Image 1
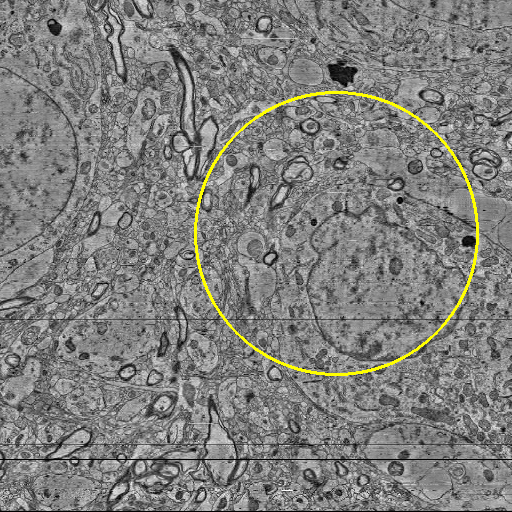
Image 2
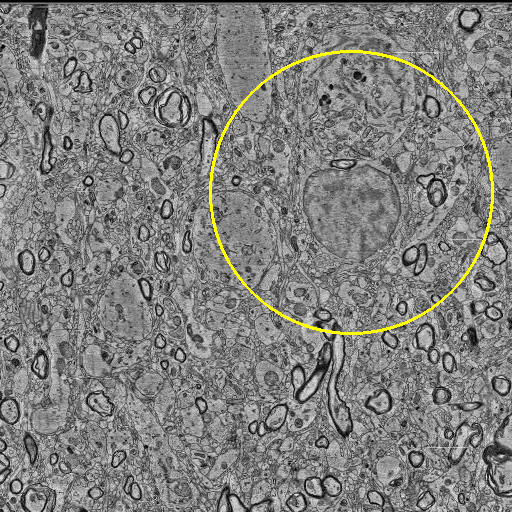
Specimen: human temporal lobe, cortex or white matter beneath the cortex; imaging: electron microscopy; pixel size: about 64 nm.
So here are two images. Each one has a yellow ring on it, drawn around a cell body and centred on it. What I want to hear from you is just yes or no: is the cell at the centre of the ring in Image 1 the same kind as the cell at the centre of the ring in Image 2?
no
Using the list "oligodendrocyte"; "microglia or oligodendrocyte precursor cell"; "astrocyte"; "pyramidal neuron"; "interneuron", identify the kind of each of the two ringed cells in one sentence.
The first is an interneuron and the second is an oligodendrocyte.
